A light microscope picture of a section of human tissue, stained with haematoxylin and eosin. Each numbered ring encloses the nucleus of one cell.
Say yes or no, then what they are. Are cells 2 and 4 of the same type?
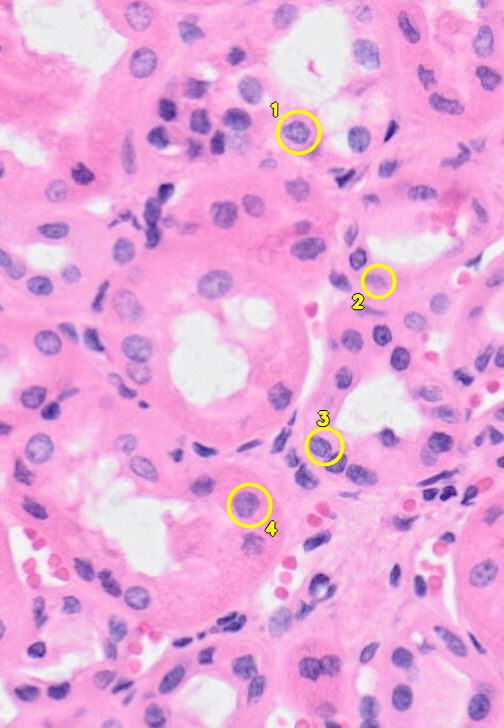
No, the correct reading has cell 2 as a collecting duct cell and cell 4 as a proximal tubule cell.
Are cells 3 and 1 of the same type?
Yes, by cell type, cells 3 and 1 are both collecting duct cells.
